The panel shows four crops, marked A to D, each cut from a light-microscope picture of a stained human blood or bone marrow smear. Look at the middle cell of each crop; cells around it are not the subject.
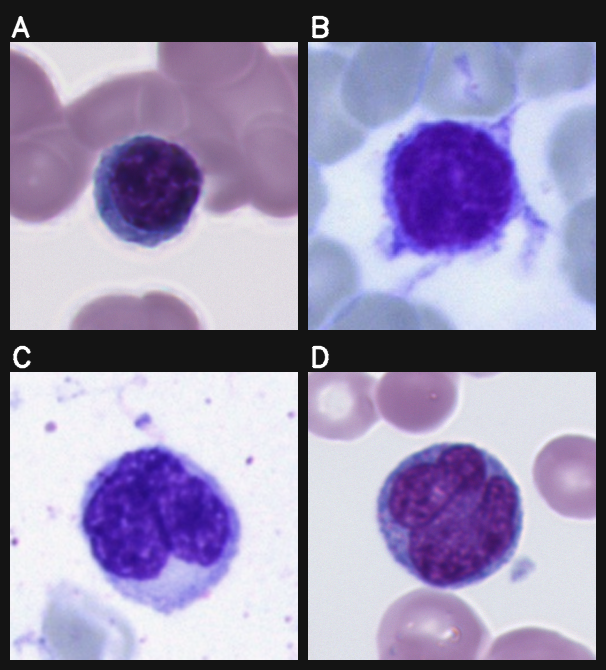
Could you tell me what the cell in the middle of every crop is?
A: plasma cell
B: hairy cell
C: monocyte
D: monocyte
